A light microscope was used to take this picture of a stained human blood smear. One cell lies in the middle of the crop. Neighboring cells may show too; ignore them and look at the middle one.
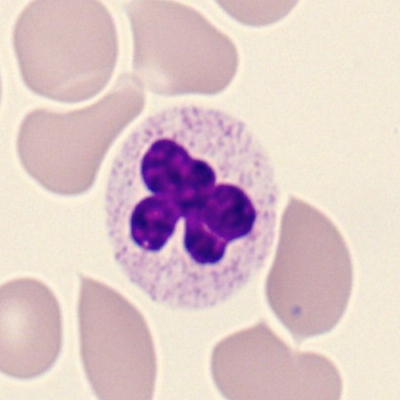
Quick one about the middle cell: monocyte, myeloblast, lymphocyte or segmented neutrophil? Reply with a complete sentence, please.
In the centre of this crop there is a segmented neutrophil.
